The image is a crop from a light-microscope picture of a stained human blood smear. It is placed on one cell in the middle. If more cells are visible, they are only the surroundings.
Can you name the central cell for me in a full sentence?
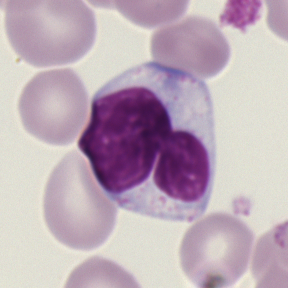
The crop centres on a single cell, and that cell is a large granular lymphocyte.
